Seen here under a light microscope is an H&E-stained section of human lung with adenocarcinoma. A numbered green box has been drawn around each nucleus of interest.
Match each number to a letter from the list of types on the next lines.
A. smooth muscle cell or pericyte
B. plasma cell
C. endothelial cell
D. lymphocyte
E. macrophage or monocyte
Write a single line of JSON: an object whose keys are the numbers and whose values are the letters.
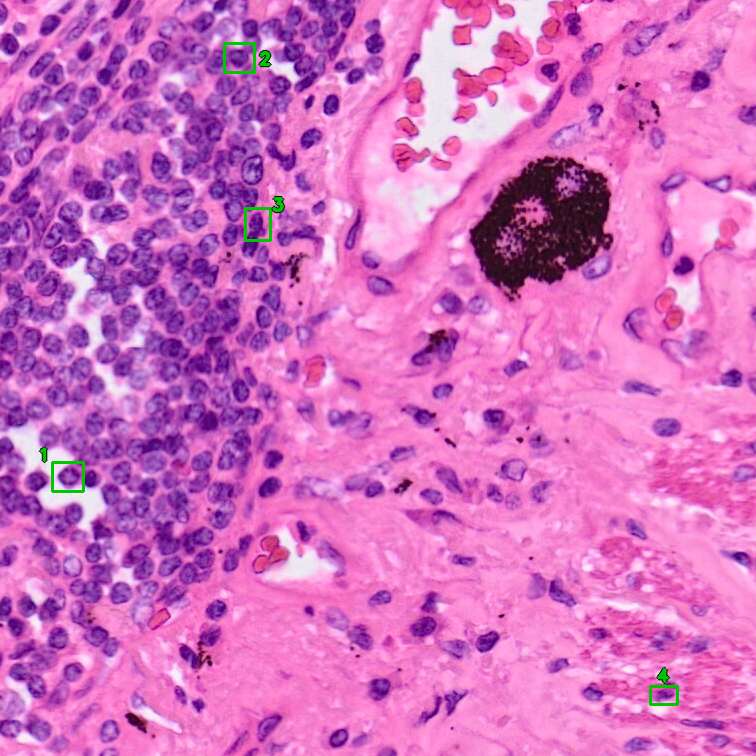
{"1": "D", "2": "D", "3": "D", "4": "A"}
